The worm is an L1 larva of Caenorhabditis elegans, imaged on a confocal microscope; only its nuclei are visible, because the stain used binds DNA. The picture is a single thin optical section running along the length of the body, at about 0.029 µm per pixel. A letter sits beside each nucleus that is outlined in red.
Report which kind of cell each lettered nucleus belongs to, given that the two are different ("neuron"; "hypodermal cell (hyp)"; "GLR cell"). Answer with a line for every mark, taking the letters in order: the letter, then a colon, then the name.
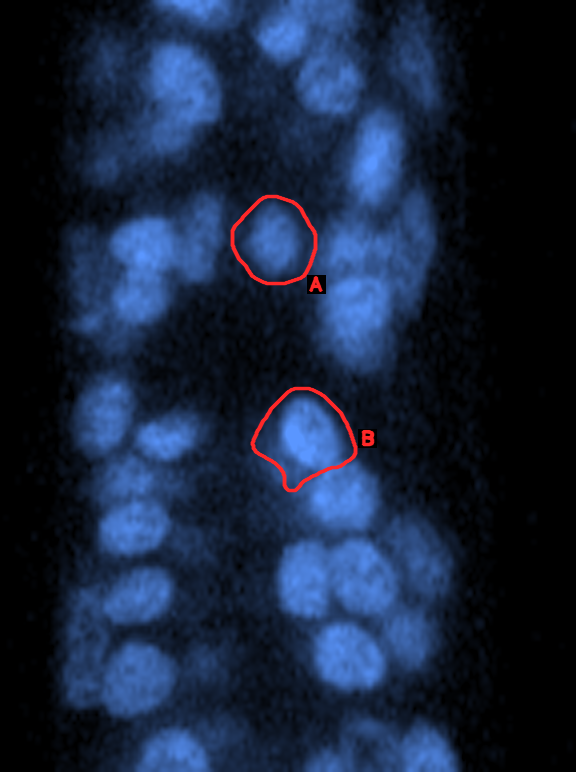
A: neuron
B: GLR cell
